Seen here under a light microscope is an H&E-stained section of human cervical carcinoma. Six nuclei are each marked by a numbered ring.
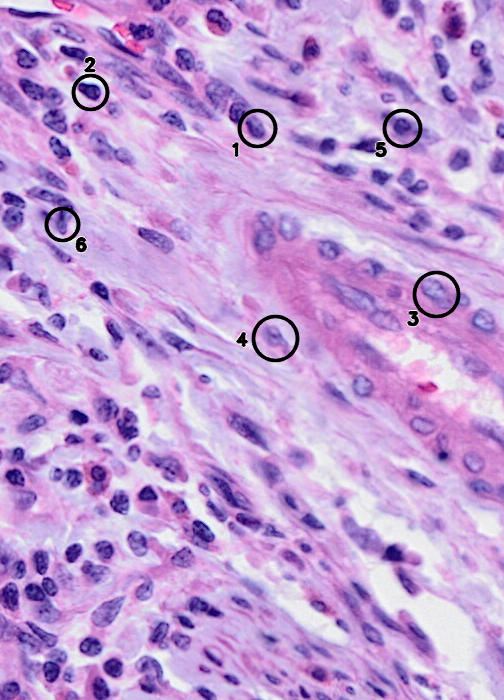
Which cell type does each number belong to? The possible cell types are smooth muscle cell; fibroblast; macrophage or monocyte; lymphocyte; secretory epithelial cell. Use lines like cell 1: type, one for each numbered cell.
cell 1: lymphocyte
cell 2: lymphocyte
cell 3: smooth muscle cell
cell 4: macrophage or monocyte
cell 5: lymphocyte
cell 6: lymphocyte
